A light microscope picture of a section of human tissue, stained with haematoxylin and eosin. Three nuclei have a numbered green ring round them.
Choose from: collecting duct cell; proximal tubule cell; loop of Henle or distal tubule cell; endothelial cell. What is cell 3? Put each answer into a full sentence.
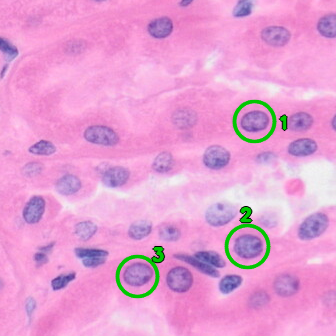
The nucleus labelled 3 belongs to a proximal tubule cell.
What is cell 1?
The cell that carries the label 1 is a proximal tubule cell.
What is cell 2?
That cell with number 2 is a loop of Henle or distal tubule cell.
